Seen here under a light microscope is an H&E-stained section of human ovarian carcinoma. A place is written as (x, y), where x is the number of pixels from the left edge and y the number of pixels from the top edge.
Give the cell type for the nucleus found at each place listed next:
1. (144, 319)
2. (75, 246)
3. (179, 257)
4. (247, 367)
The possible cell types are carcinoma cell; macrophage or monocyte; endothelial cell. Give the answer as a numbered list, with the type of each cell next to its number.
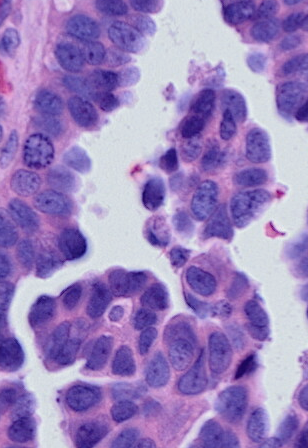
1. carcinoma cell
2. carcinoma cell
3. macrophage or monocyte
4. carcinoma cell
